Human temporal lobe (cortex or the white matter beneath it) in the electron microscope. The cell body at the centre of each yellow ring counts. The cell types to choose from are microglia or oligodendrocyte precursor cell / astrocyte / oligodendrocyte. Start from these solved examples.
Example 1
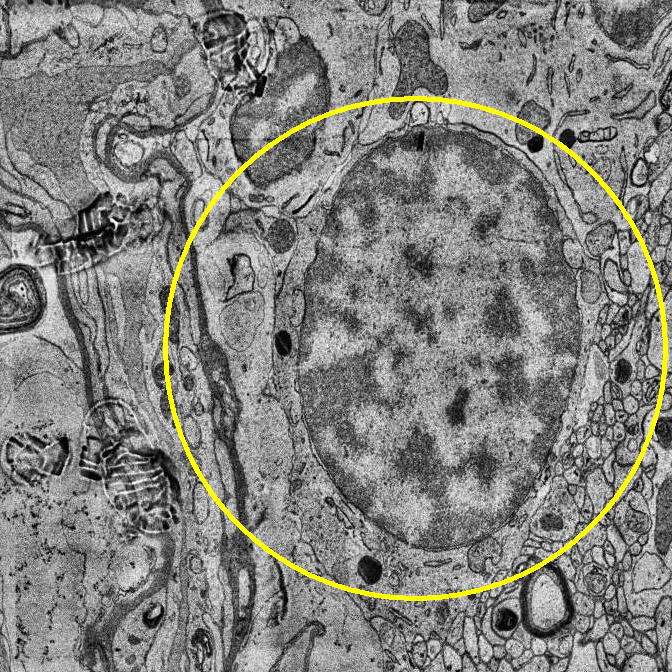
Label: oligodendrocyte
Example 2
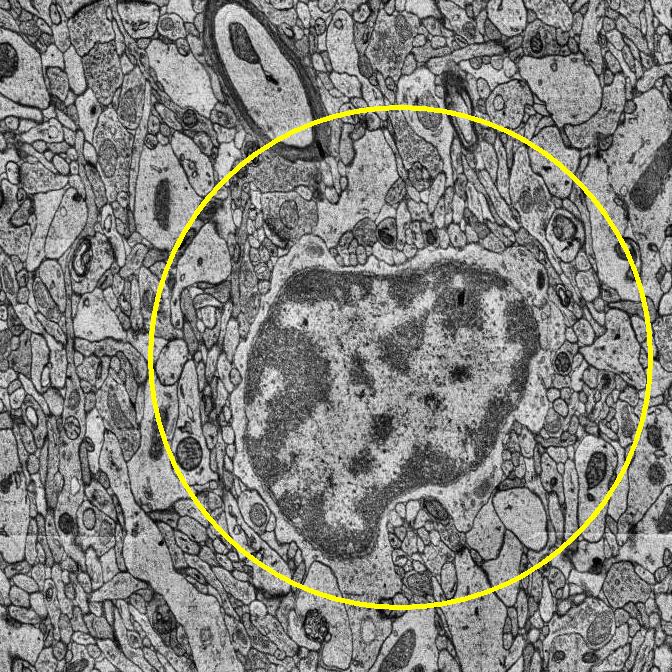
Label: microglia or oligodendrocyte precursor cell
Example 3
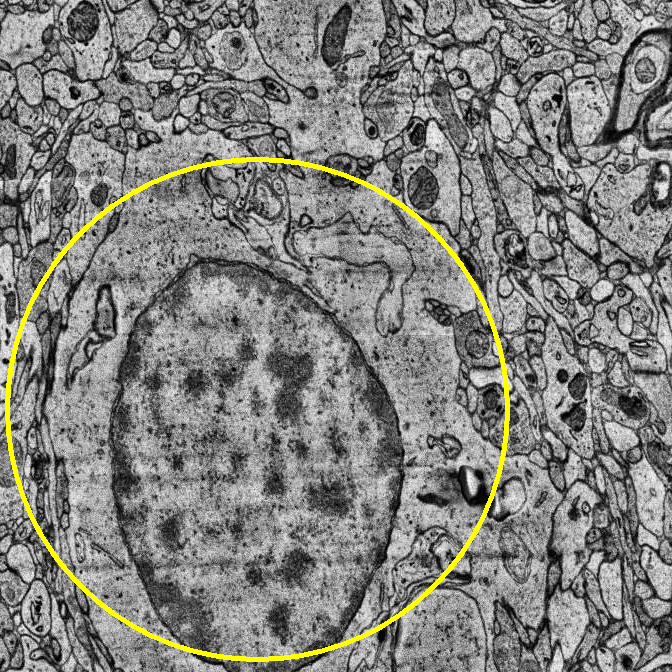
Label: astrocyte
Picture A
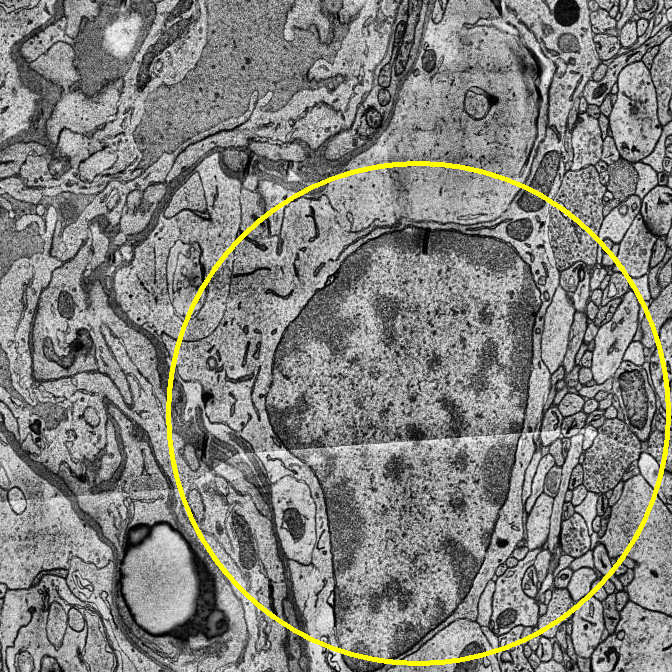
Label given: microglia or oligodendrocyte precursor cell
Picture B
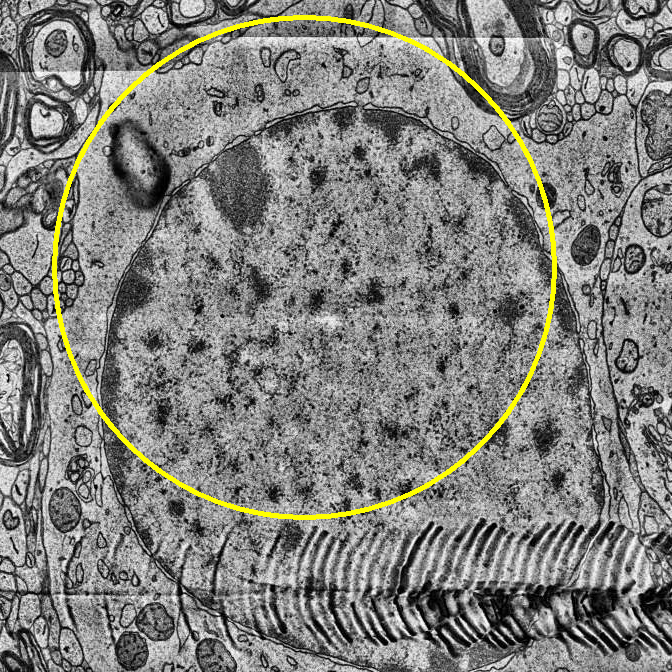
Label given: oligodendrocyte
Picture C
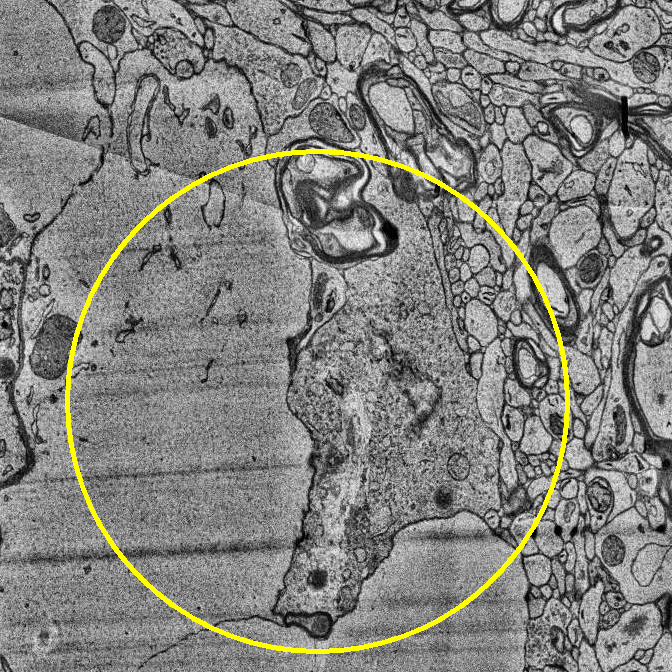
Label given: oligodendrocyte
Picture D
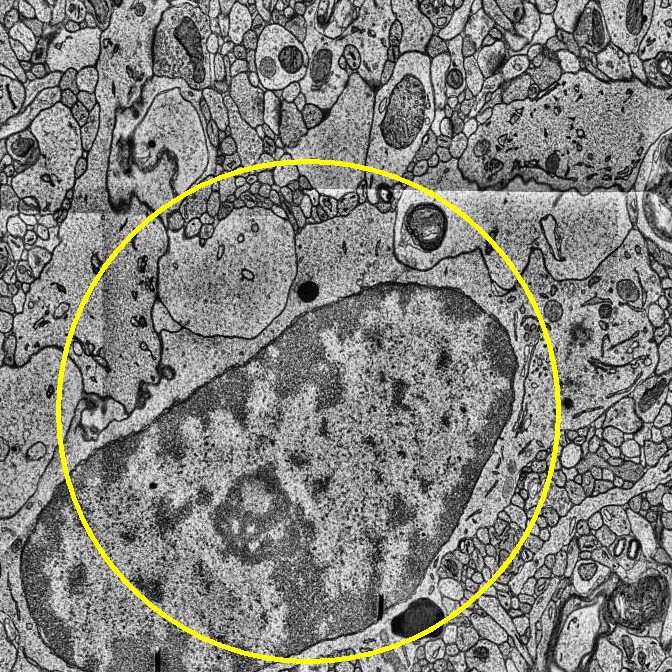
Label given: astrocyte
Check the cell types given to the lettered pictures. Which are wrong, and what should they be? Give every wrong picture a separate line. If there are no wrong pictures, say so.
B should be astrocyte, not oligodendrocyte
D should be microglia or oligodendrocyte precursor cell, not astrocyte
